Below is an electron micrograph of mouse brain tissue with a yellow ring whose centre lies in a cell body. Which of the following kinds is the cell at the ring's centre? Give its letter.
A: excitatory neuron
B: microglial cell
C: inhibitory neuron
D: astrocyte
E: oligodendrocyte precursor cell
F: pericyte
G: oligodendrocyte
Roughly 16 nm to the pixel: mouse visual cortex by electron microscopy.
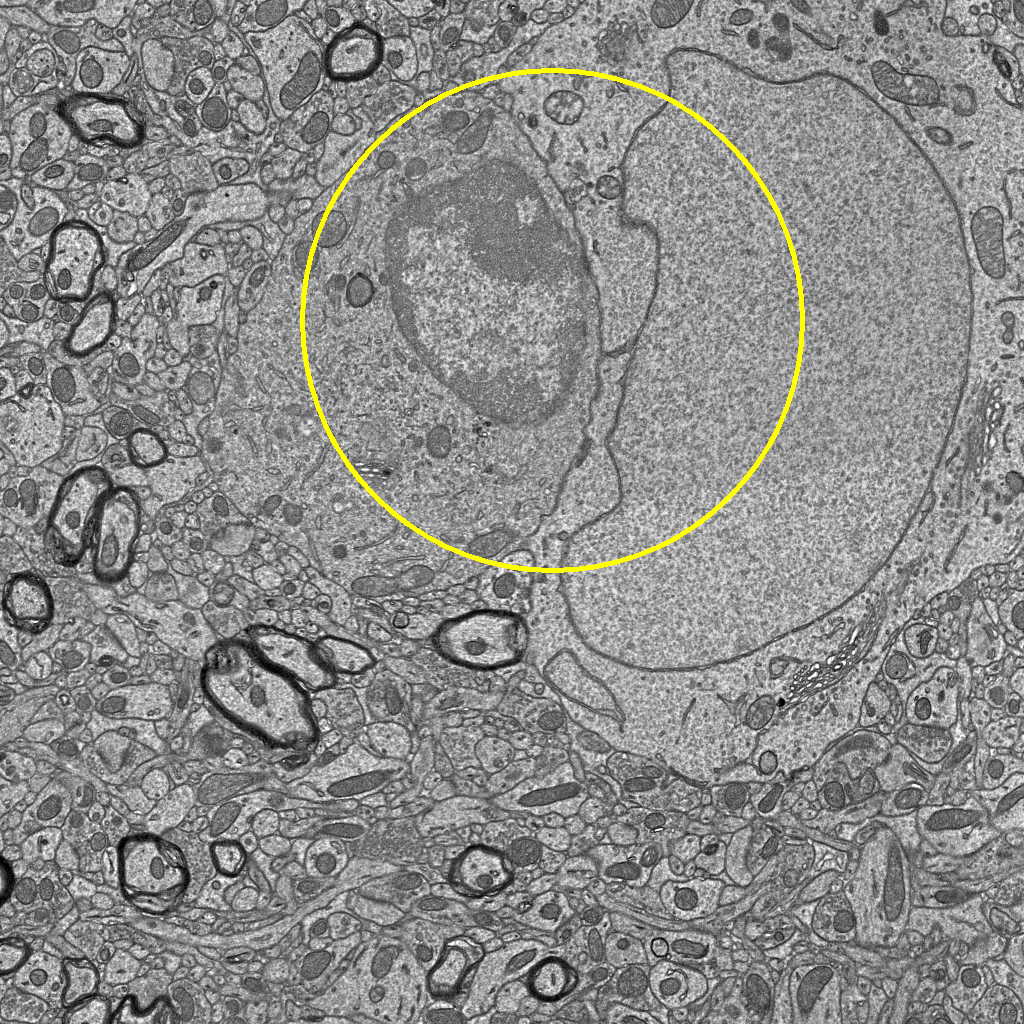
G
